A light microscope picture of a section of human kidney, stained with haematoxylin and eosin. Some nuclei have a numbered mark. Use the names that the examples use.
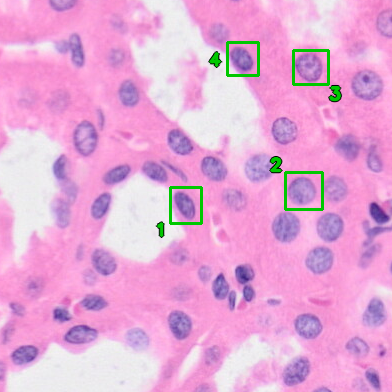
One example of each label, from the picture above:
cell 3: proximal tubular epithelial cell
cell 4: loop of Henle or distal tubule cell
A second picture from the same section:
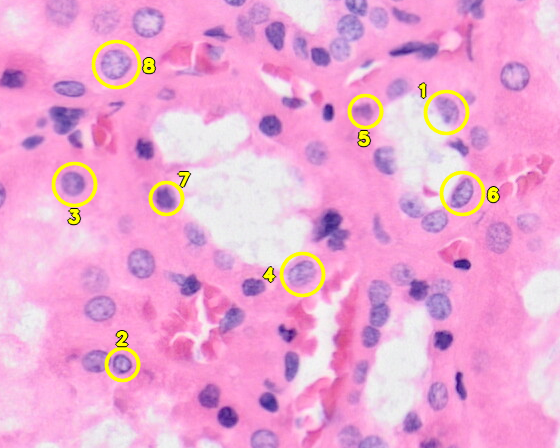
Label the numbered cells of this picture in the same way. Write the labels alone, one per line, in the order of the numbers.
loop of Henle or distal tubule cell
proximal tubular epithelial cell
proximal tubular epithelial cell
loop of Henle or distal tubule cell
loop of Henle or distal tubule cell
loop of Henle or distal tubule cell
loop of Henle or distal tubule cell
proximal tubular epithelial cell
